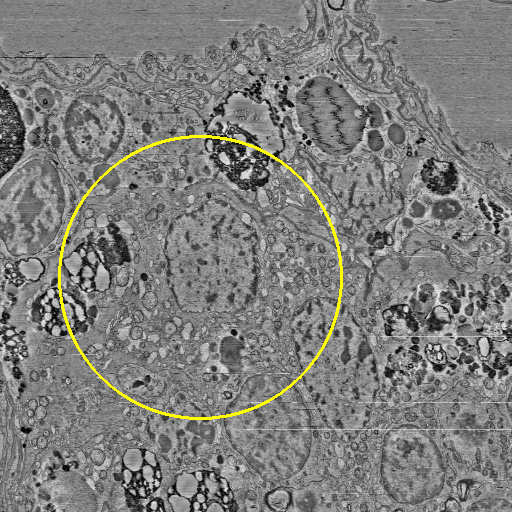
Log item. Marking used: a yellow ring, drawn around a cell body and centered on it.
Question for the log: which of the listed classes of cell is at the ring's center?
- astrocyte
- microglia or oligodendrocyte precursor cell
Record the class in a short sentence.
At the center of the ring lies an astrocyte.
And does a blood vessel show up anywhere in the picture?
Yes, there is a blood vessel in the image.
